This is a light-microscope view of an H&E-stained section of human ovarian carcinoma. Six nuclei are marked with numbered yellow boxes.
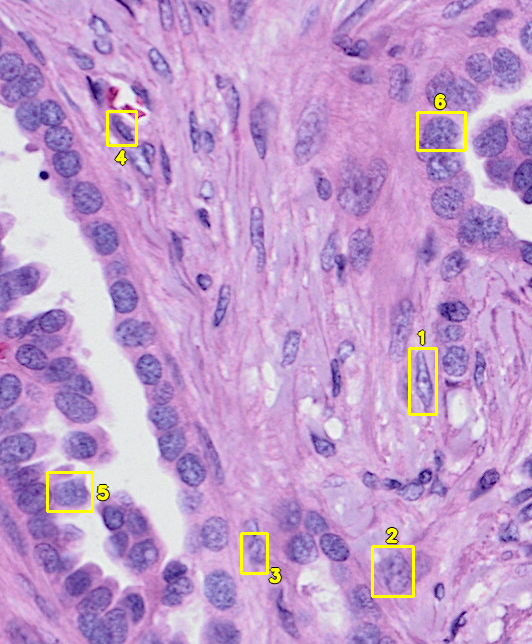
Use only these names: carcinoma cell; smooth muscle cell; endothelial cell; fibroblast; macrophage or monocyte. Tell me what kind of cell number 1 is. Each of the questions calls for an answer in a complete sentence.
The marked nucleus 1 is that of a fibroblast.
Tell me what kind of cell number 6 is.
The cell with the number 6 is a carcinoma cell.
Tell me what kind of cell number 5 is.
In this section, number 5 marks a carcinoma cell.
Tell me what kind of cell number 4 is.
Cell number 4 in this section is an endothelial cell.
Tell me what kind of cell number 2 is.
The nucleus with number 2 is that of a fibroblast.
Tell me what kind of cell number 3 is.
The cell given label 3 is a fibroblast.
